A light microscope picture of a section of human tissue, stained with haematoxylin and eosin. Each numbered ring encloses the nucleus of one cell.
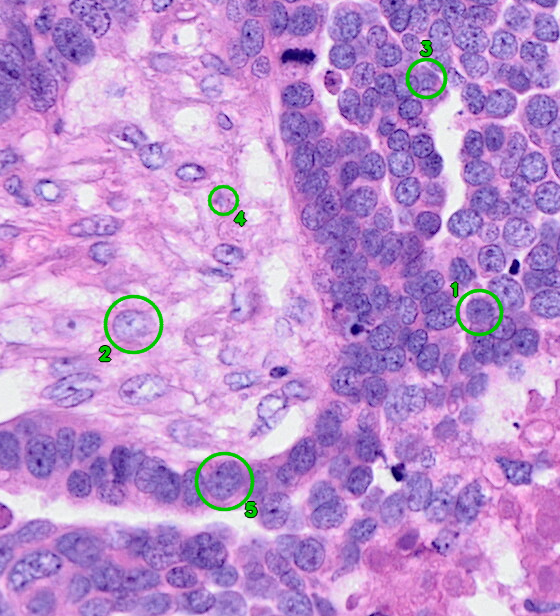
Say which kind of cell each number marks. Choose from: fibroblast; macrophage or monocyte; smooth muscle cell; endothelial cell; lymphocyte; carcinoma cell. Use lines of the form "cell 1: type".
cell 1: carcinoma cell
cell 2: fibroblast
cell 3: carcinoma cell
cell 4: fibroblast
cell 5: carcinoma cell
